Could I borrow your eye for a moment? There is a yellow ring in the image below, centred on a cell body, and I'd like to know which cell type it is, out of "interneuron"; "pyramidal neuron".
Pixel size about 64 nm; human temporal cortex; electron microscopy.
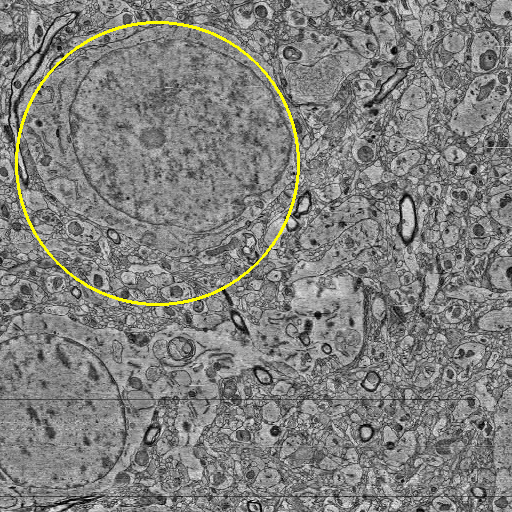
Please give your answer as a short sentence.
The cell body at the centre is that of an interneuron.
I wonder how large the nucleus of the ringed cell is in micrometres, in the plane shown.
Roughly 14 micrometres by 12 micrometres, in this plane.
